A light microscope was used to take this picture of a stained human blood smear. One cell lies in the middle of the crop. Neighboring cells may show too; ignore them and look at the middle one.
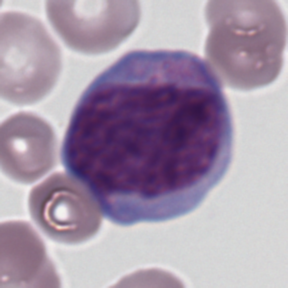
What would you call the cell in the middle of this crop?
atypical promyelocyte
